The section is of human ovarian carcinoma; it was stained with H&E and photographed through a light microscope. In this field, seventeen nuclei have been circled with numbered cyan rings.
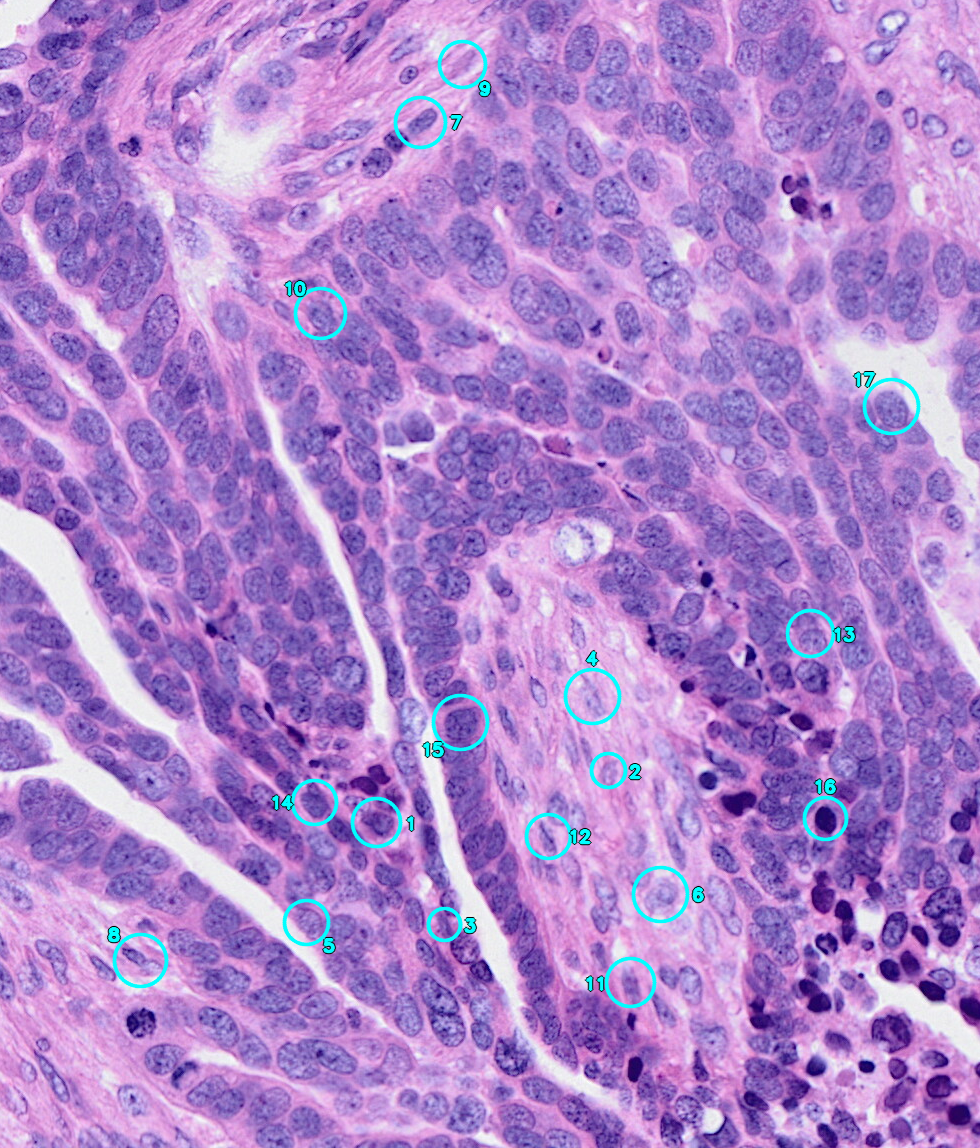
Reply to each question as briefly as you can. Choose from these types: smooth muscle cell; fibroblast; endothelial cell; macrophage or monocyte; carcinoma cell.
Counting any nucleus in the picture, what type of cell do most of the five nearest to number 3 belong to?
carcinoma cell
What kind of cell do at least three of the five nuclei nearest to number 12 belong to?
fibroblast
